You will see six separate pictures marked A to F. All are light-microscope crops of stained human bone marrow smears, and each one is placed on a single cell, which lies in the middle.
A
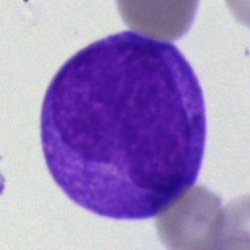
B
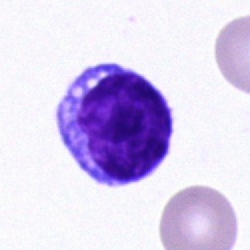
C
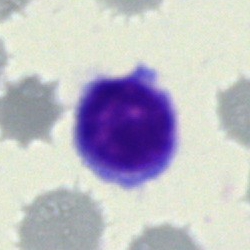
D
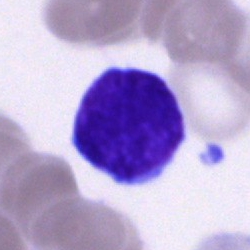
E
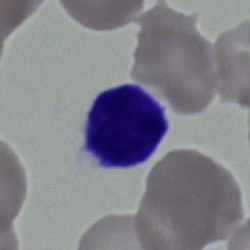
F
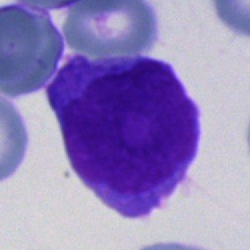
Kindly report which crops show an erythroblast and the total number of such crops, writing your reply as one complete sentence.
The count is zero, since none of the crops contains erythroblasts.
